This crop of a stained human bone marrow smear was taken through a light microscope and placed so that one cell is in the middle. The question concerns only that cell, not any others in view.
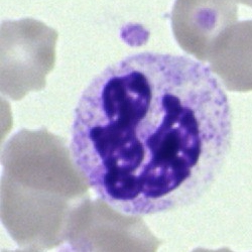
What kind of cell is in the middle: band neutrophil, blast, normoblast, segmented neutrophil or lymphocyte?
segmented neutrophil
